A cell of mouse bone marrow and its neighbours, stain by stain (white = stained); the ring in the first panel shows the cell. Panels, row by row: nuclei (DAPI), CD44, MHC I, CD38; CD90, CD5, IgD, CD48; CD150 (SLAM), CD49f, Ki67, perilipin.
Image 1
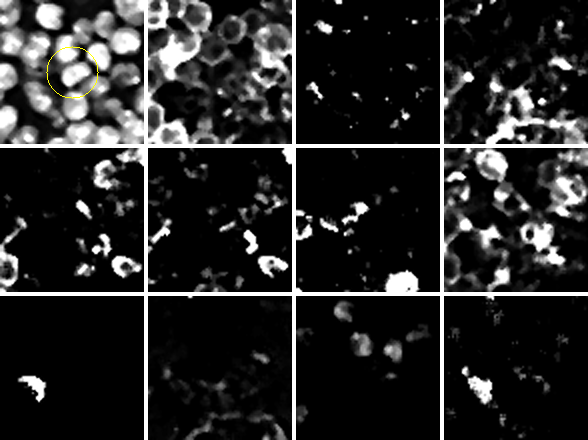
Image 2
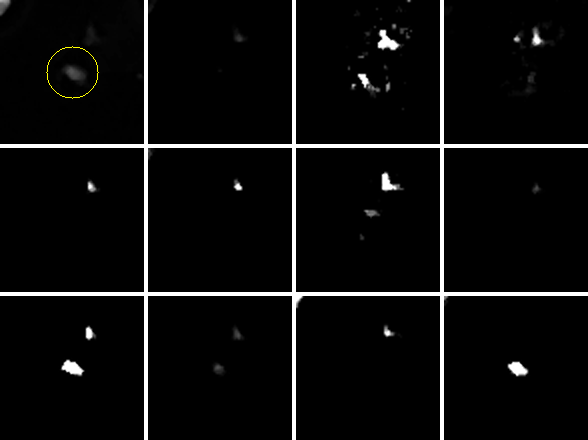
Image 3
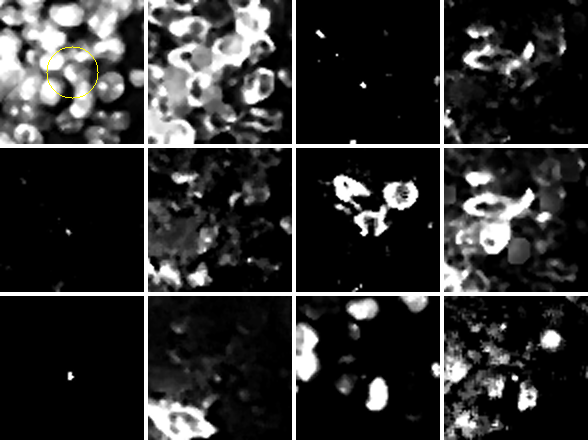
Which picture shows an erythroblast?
Picture 1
